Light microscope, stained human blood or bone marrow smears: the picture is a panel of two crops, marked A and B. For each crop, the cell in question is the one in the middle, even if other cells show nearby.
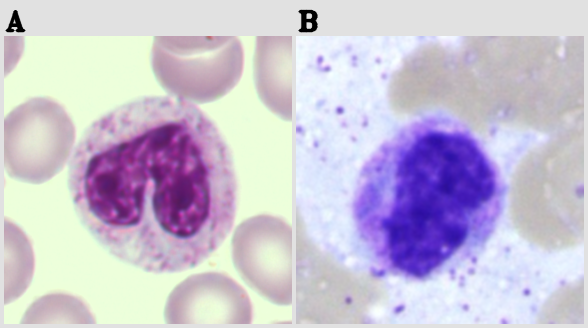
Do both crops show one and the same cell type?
no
